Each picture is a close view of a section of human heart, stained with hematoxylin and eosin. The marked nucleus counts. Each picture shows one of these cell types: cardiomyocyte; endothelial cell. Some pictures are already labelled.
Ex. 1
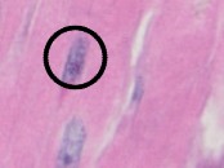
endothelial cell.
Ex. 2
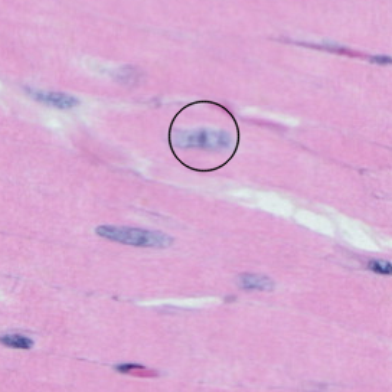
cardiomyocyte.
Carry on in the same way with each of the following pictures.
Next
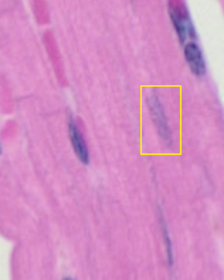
cardiomyocyte.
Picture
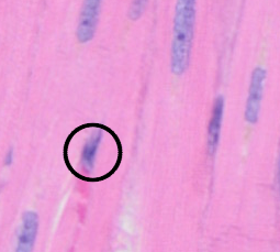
endothelial cell.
